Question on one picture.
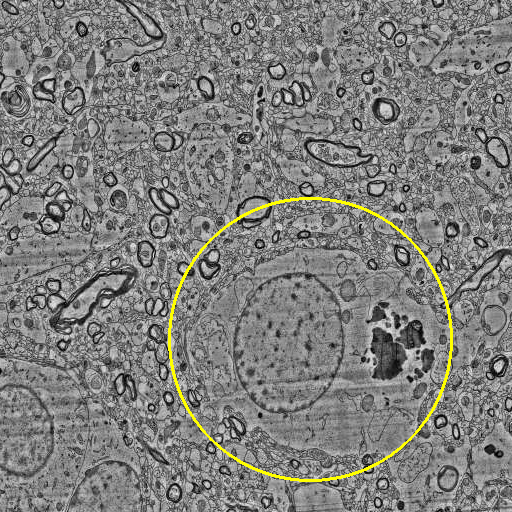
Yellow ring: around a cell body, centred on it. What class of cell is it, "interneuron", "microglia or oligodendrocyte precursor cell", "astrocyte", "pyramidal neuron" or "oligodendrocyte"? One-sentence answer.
This is an astrocyte, the cell the ring is centred on.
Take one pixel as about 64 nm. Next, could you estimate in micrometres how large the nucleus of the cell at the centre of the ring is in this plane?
The ringed cell's nucleus is about 9 micrometres long and 7 micrometres wide in this plane.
